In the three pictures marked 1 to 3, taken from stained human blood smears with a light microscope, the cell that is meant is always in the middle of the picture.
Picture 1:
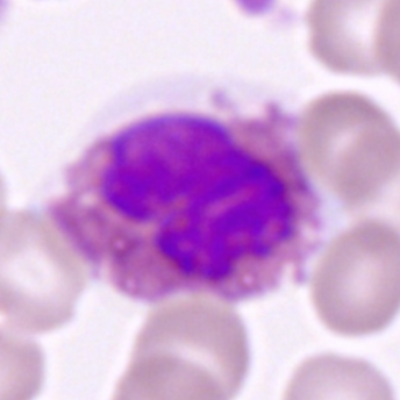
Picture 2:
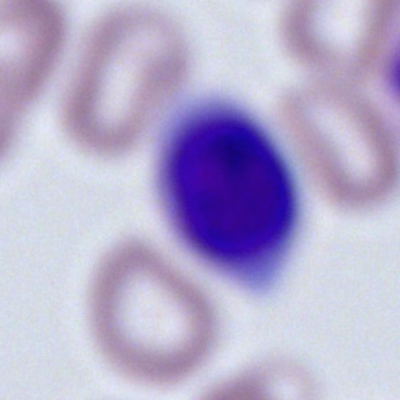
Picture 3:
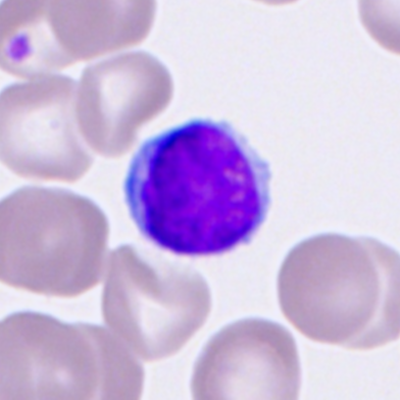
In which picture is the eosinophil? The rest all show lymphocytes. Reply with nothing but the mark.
1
